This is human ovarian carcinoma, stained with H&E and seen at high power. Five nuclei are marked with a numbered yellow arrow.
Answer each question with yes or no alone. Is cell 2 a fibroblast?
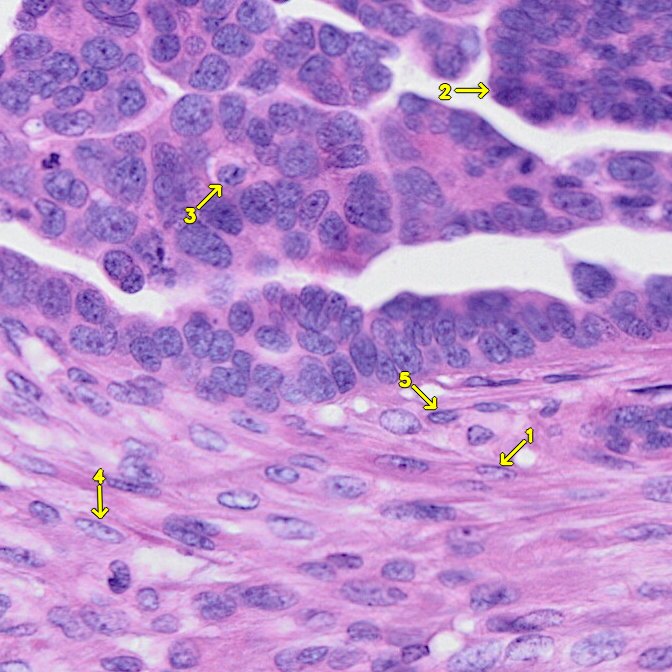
no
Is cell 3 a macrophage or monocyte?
yes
